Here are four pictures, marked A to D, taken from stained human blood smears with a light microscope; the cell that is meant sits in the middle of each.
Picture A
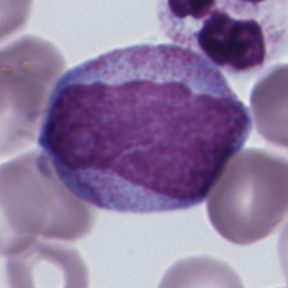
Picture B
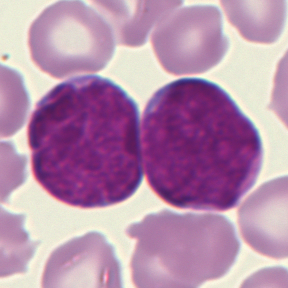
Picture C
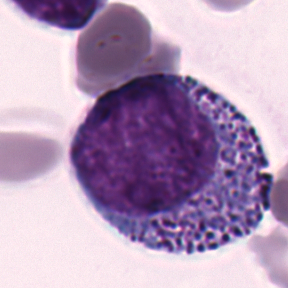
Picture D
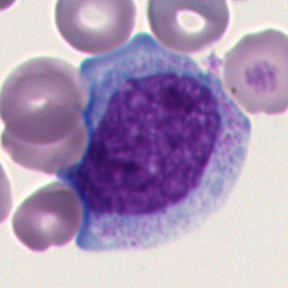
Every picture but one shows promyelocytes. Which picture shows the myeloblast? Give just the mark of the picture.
B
